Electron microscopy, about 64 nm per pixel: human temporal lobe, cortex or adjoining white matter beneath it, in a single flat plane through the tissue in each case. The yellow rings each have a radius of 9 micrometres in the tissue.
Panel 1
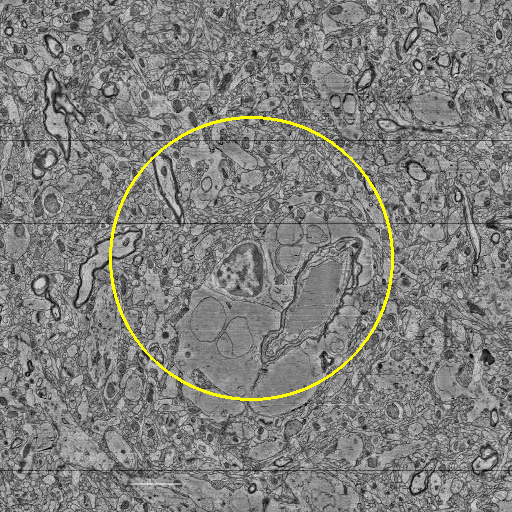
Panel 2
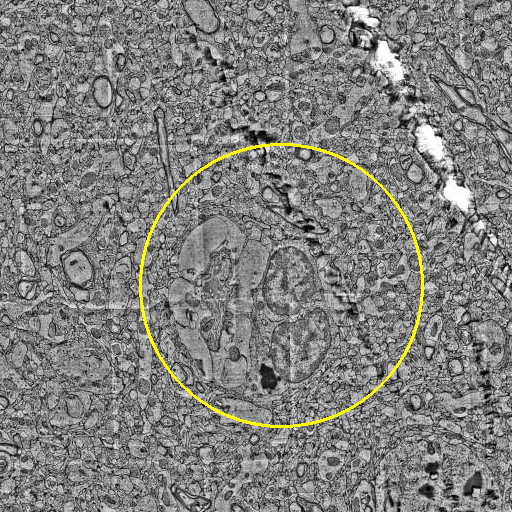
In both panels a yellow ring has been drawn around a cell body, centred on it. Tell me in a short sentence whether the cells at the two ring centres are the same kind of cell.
No, they are two kinds of cell.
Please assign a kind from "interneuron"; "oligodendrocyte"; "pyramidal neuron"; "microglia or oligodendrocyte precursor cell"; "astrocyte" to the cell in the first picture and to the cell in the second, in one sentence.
In the first picture we have a microglial cell or oligodendrocyte precursor cell, and in the second, an oligodendrocyte.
